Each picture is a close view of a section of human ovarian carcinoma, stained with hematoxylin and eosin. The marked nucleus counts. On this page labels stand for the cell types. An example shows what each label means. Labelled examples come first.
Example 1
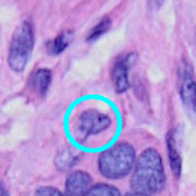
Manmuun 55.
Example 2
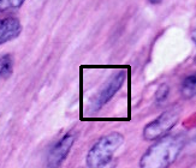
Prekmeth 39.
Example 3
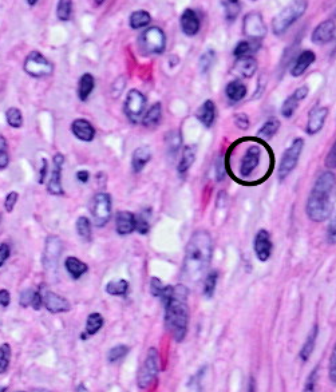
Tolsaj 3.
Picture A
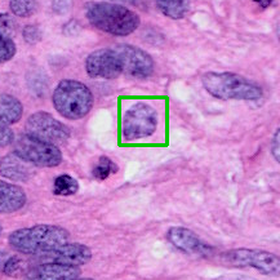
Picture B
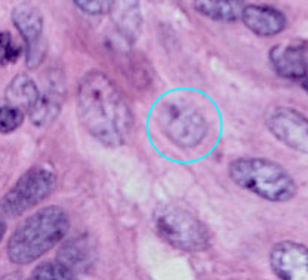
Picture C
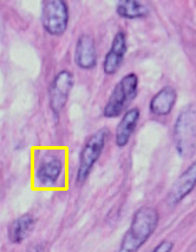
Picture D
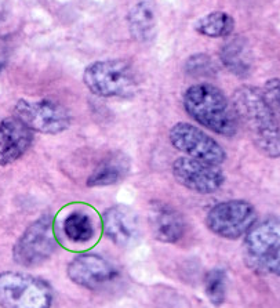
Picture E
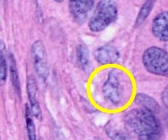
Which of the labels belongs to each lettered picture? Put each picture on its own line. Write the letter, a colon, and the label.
A: Manmuun 55.
B: Prekmeth 39.
C: Prekmeth 39.
D: Tolsaj 3.
E: Prekmeth 39.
